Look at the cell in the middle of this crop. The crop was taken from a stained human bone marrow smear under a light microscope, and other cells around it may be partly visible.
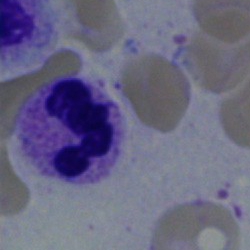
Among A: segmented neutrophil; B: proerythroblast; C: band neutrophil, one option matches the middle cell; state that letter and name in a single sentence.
This one is option A, since the cell at the center is a segmented neutrophil.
